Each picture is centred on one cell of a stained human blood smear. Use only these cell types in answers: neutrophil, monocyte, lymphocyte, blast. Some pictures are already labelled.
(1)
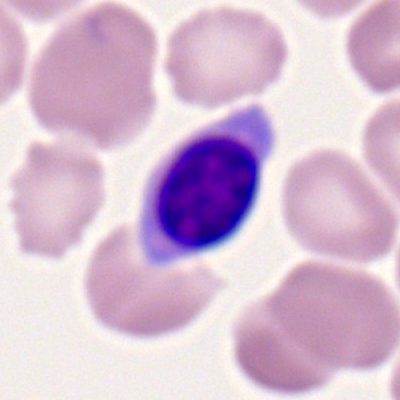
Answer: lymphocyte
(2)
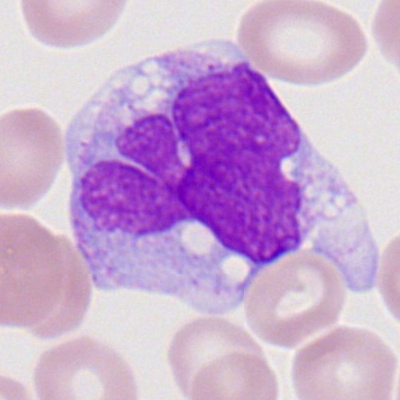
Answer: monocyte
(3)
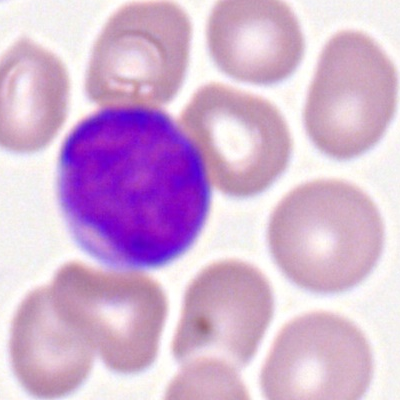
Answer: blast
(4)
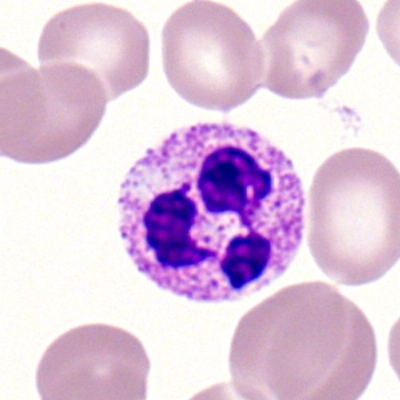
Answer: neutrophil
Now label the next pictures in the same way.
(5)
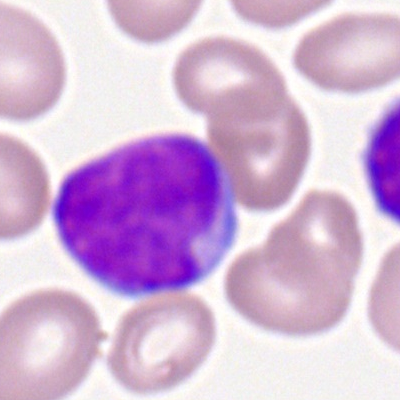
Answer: blast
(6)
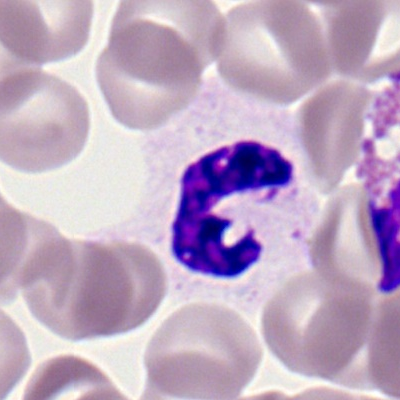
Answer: neutrophil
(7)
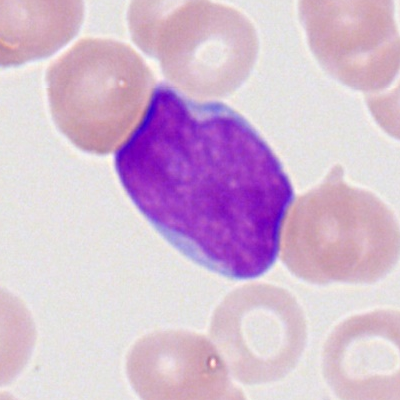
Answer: blast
